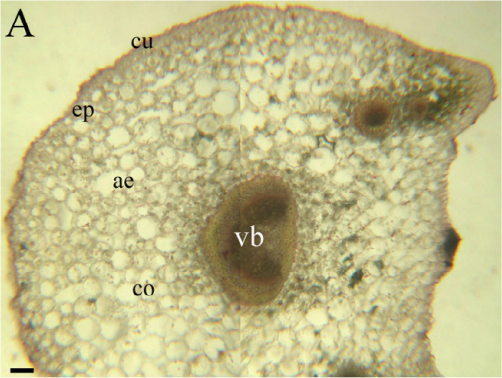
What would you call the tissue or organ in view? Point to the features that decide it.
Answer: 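A thick, rounded cross-section with a large central vascular bundle. The bundle is surrounded by ground tissue with many air spaces. A thin cuticle-covered surface layer bounds the section.
Conclusion: petioles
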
